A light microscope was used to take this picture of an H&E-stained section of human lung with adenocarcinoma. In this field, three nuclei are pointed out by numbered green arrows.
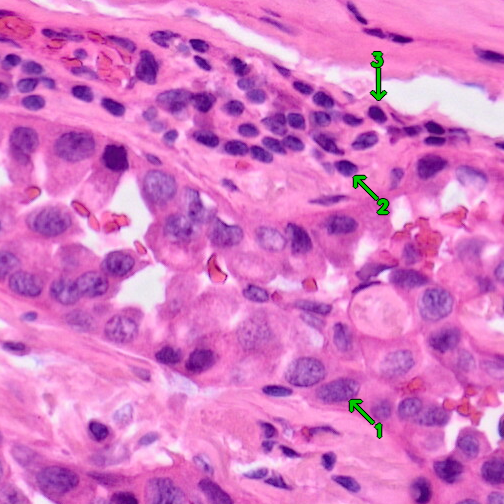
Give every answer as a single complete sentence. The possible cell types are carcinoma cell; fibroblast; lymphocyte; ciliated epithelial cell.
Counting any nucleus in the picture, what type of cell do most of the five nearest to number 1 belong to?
Carcinoma cells account for more than half of the five nuclei nearest to number 1.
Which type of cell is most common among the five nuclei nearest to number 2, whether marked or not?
Lymphocytes account for more than half of the five nuclei nearest to number 2.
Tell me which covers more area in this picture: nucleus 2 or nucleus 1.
At about 2.5 times the area of nucleus 2, nucleus 1 is the larger of the two.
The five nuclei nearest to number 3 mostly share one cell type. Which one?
Most of the five nuclei nearest to number 3 are those of lymphocytes.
